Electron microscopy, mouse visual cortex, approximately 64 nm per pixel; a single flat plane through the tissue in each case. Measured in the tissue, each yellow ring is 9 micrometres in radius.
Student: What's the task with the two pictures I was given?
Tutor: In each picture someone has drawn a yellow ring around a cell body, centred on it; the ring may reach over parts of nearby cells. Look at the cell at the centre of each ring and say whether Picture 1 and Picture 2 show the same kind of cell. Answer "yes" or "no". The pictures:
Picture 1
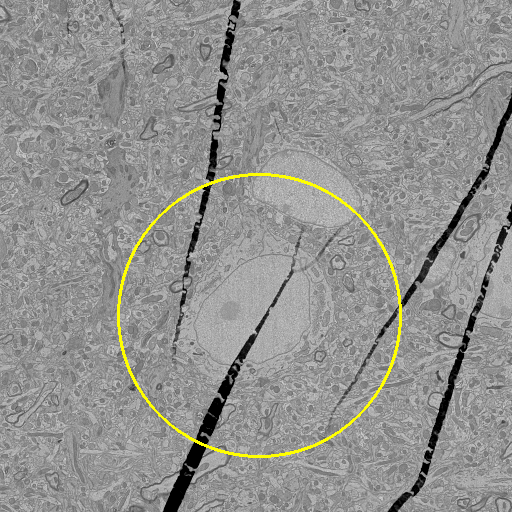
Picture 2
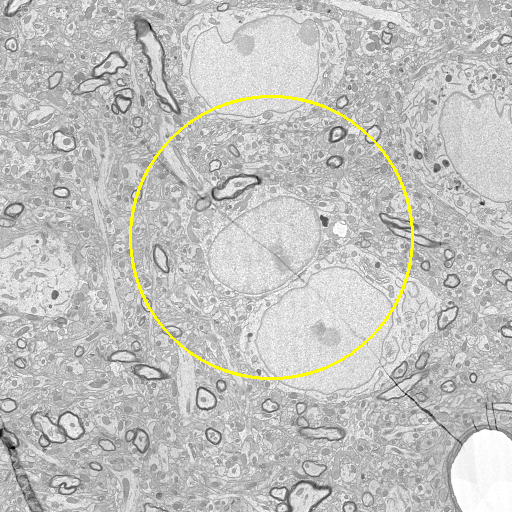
no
